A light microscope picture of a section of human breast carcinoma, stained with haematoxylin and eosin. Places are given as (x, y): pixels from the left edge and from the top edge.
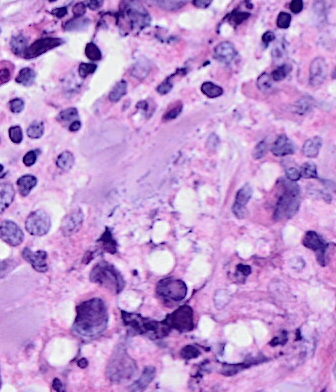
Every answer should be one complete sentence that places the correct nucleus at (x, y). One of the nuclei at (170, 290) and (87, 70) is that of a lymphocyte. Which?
Of the two nuclei, the nucleus belonging to a lymphocyte is located at (87, 70).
